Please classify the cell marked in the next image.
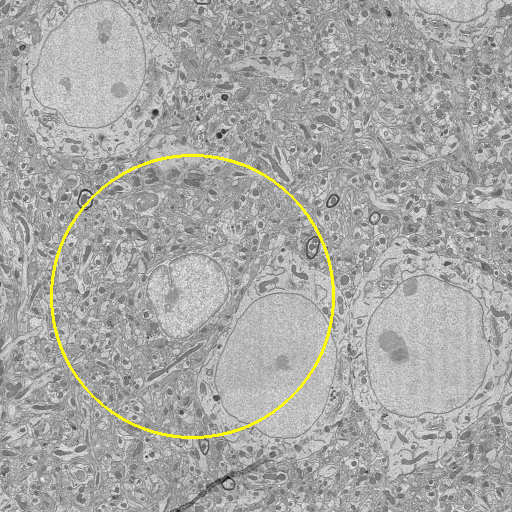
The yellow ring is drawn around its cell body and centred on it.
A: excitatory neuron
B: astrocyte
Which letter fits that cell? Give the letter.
B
